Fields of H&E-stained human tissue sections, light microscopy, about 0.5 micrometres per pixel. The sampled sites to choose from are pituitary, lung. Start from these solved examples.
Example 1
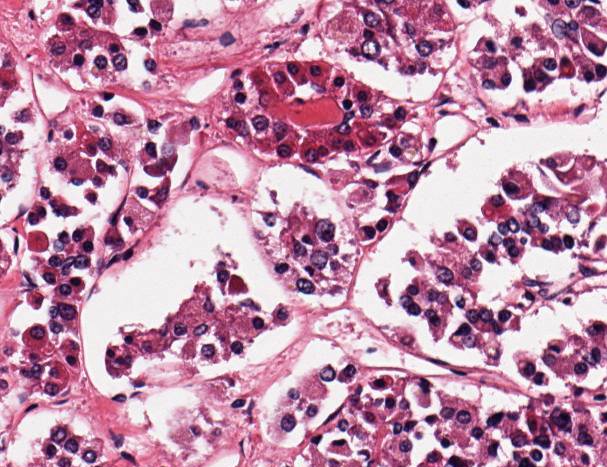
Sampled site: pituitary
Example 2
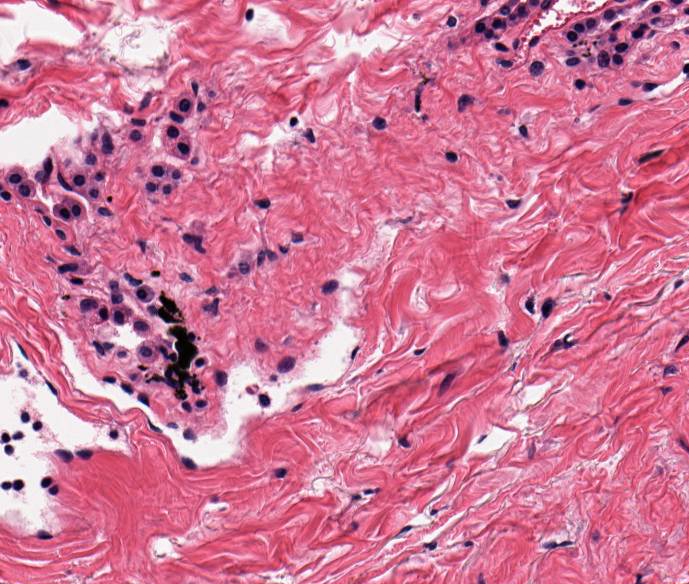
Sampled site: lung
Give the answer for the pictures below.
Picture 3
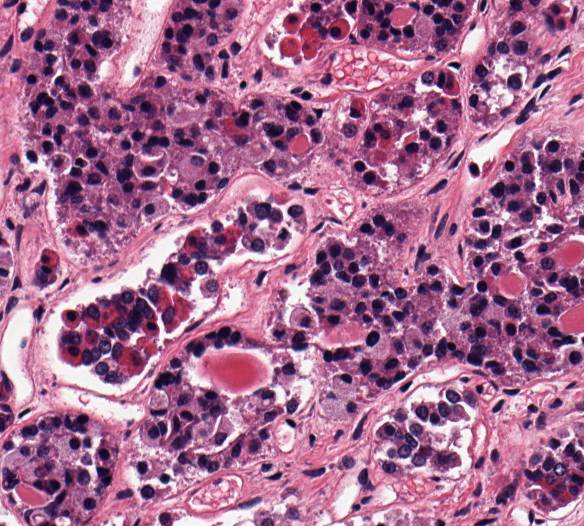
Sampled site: pituitary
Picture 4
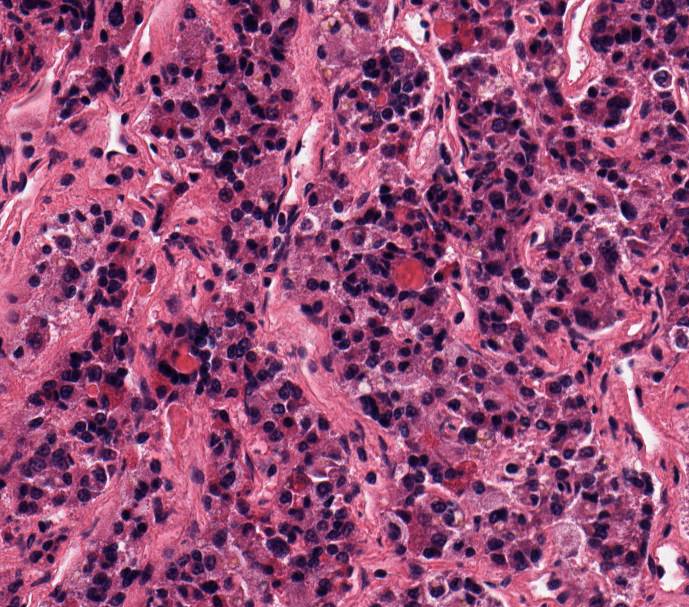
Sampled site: pituitary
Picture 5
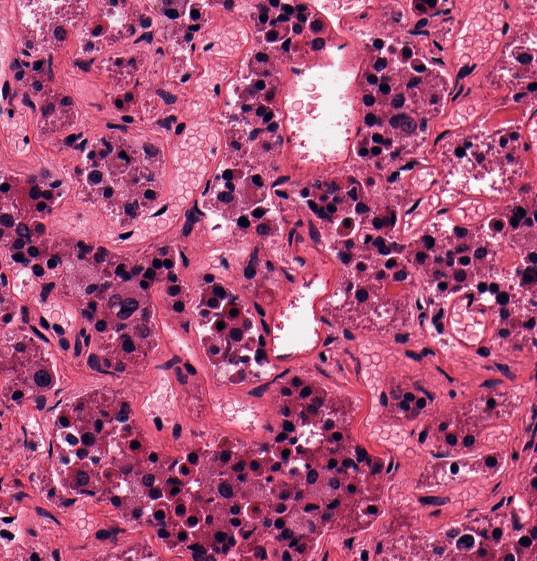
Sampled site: pituitary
